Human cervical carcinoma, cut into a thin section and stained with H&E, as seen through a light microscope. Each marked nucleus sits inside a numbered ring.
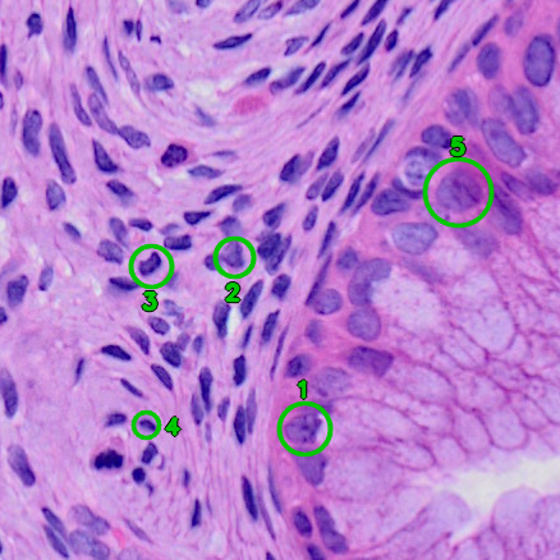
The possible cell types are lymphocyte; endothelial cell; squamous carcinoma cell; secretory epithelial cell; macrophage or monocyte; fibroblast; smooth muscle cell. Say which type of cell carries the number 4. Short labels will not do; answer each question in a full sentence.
Identified by the number 4, the cell is a fibroblast.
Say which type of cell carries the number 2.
Marked with the number 2, this cell is a fibroblast.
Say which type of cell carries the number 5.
In the marked set, the cell given number 5 is a secretory epithelial cell.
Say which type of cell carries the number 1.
The cell pointed out by number 1 is a secretory epithelial cell.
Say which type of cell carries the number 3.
Looking at the numbered marks, cell 3 is a fibroblast.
